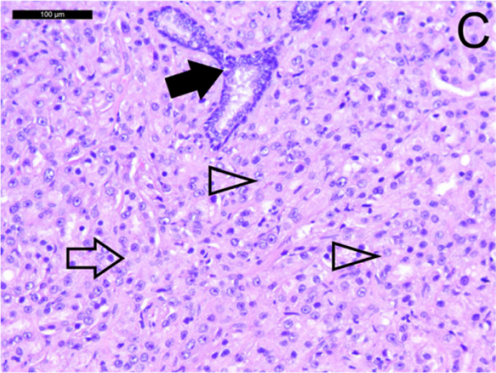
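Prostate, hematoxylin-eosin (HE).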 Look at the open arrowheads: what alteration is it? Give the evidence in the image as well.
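Poorly differentiated carcinoma. Cells grow in solid sheets without clear gland lumina. Cells have pale cytoplasm and round nuclei with visible nucleoli.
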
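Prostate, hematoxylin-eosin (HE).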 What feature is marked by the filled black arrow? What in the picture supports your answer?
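Its lining cells have darker, smaller nuclei than the surrounding sheet of cells. So: normal glands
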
